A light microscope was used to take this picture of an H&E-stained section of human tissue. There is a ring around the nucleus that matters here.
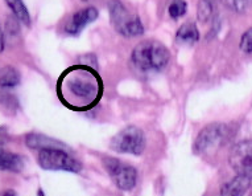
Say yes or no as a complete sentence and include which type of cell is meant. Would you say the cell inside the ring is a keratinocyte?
No, write a melanoma cell for the cell inside the ring rather than a keratinocyte.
